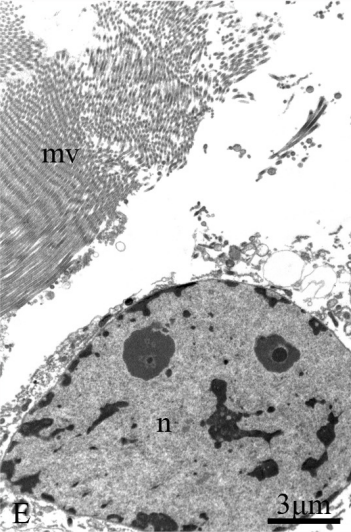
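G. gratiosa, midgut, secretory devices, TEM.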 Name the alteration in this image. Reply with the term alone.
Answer: Holocrine secretion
